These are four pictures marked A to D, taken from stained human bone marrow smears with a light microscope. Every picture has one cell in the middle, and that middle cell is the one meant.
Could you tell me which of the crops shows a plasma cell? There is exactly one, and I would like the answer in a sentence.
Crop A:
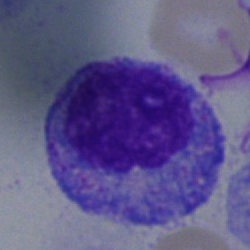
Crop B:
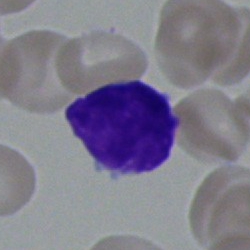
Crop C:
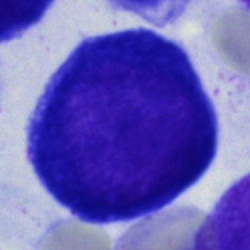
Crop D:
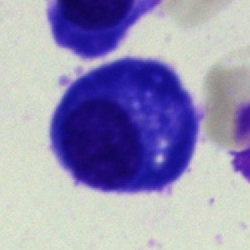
Only in crop D is a plasma cell shown.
